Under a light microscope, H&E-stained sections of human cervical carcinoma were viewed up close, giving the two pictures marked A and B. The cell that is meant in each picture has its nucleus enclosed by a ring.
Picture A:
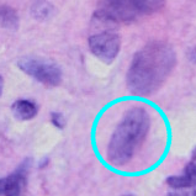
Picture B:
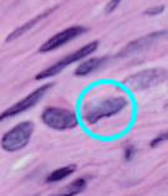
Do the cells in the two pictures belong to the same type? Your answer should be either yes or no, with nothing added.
yes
